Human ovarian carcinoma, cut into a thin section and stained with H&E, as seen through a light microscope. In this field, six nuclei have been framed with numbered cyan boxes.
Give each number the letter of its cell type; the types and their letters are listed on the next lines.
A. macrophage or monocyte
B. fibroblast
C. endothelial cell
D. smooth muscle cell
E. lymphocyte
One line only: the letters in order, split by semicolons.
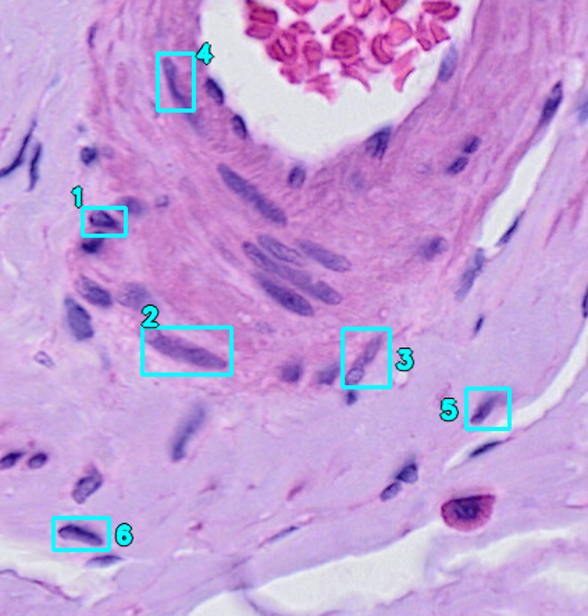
D; D; D; D; B; B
